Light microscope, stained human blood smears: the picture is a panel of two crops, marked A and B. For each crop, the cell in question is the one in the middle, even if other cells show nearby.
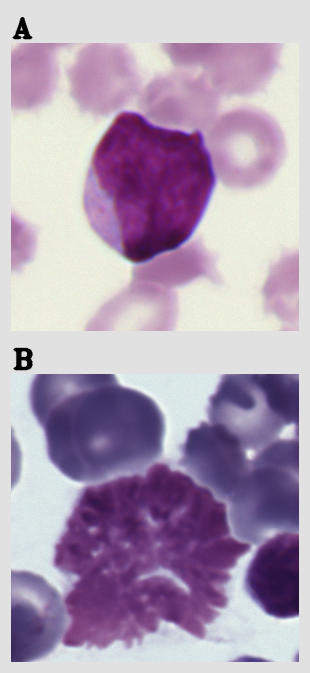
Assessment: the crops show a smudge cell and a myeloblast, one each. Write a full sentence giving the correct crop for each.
Crop A here is a myeloblast, and crop B is a smudge cell.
